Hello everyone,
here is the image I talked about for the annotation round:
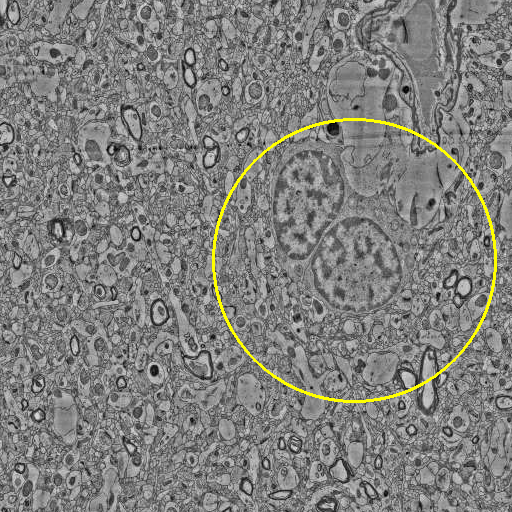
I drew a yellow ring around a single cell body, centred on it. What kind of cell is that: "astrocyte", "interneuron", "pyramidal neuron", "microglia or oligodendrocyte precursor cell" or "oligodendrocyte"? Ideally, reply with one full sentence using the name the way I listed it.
The cell your yellow ring is centred on is an oligodendrocyte, going by your list.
